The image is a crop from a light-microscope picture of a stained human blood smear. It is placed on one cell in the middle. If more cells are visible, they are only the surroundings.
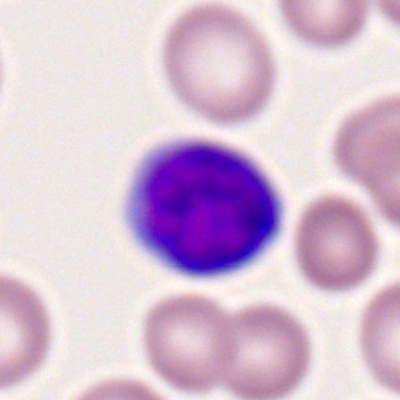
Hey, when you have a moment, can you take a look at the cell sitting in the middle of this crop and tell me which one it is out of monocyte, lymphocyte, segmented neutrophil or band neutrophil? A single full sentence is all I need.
What sits at the centre of this crop is a lymphocyte.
